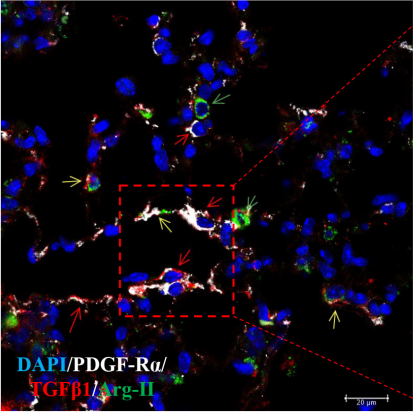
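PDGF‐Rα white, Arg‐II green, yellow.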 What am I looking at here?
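Alveolar region of the lung, seen as a network of thin septa bordering large dark air spaces. Blue oval nuclei lie scattered singly or in small clusters along the walls. Irregular white cells with spreading, branching processes run along the septa. Red staining follows the septal walls and overlaps much of the white. Green staining forms small granular dots or rings in a few cells, some of which sit beside white-stained cells. Yellow, red and green arrows point to individual cells along the septa.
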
